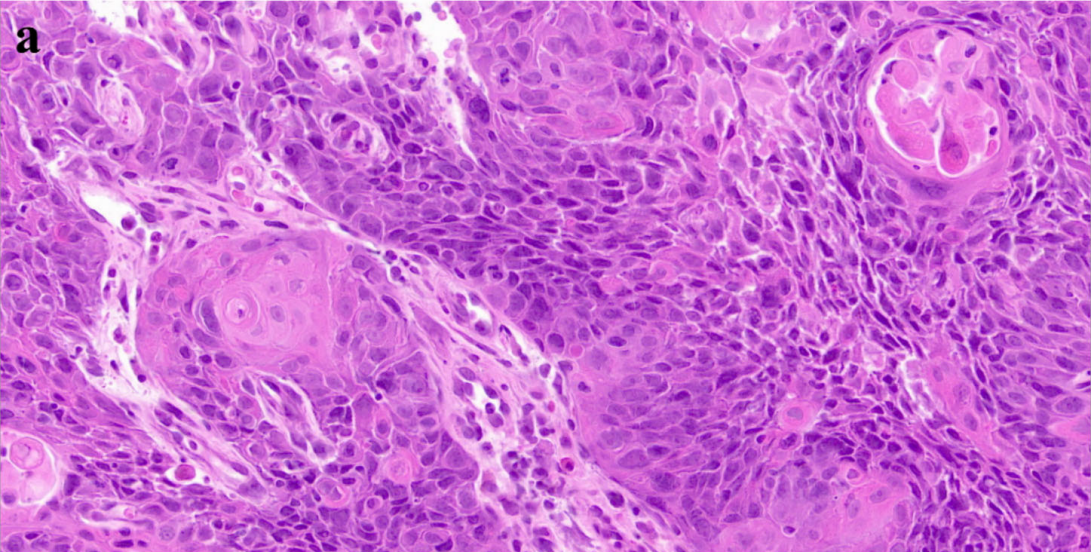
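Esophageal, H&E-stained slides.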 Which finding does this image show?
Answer: Squamous Cell Carcinoma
